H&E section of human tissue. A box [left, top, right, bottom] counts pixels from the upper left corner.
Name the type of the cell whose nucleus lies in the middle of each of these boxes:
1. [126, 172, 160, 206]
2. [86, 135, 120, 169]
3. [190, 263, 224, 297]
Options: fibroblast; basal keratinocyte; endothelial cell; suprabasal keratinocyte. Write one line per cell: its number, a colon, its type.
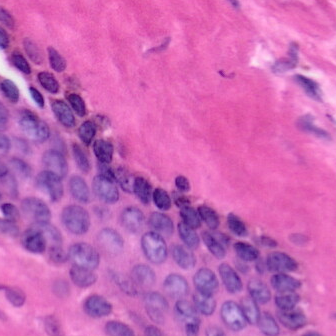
1: basal keratinocyte
2: basal keratinocyte
3: suprabasal keratinocyte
